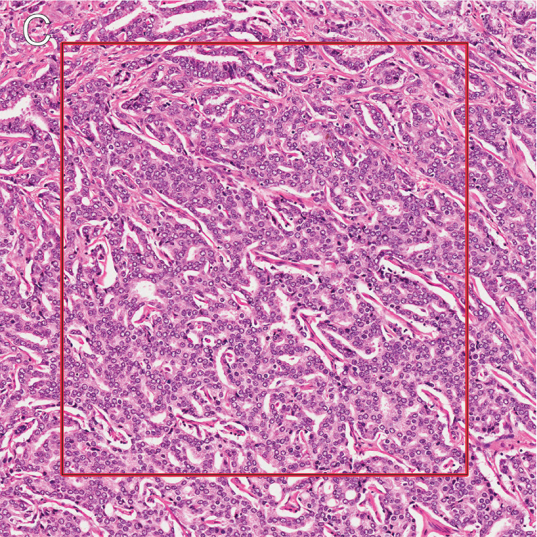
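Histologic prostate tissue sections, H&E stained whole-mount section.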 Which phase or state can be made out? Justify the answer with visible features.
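Gleason grade 4. Tumour cells form crowded, fused sheets with poorly formed glands. Lumina are few and reduced to narrow slits. Little stroma remains between the tumour cells.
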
